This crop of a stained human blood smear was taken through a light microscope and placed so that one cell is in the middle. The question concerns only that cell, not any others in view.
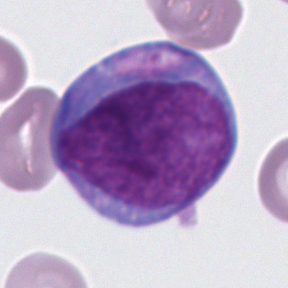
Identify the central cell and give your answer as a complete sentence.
The cell sitting right in the middle is an atypical promyelocyte.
